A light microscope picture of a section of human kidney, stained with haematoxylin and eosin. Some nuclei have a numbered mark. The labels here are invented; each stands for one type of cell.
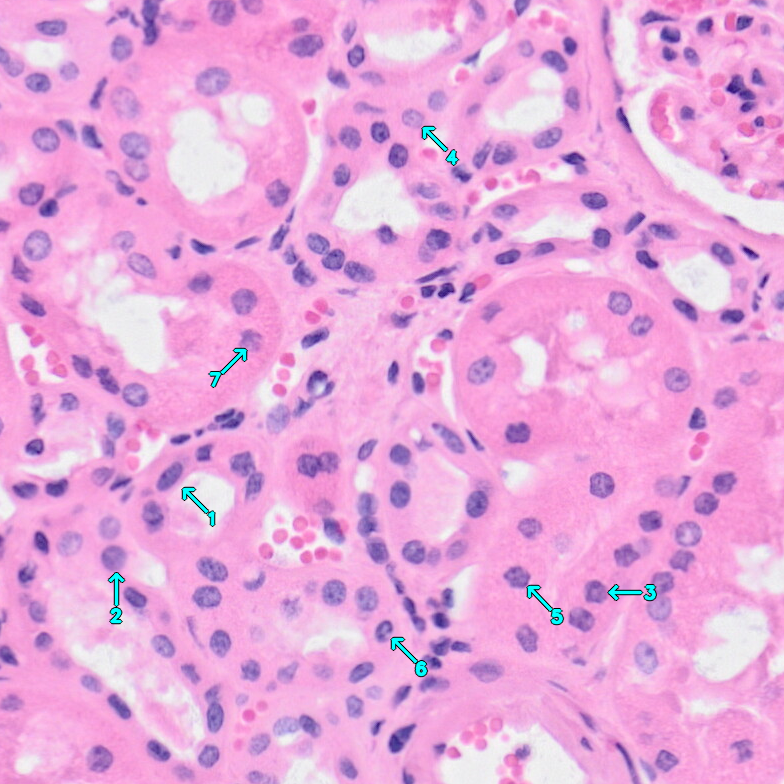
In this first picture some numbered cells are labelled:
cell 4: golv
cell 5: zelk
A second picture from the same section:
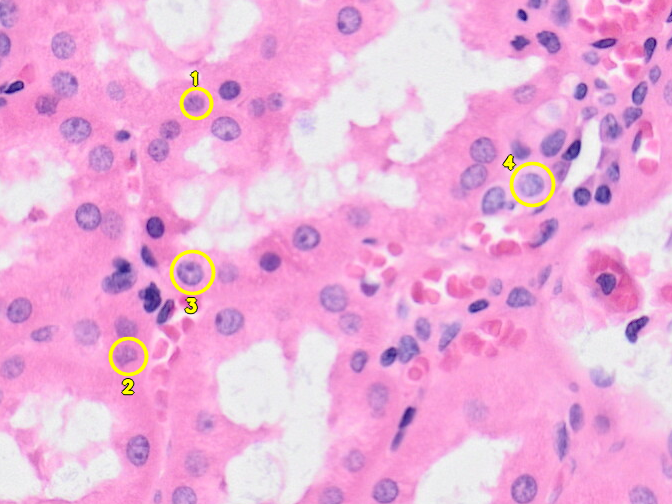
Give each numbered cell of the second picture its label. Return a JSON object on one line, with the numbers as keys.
{"1": "zelk", "2": "zelk", "3": "zelk", "4": "golv"}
